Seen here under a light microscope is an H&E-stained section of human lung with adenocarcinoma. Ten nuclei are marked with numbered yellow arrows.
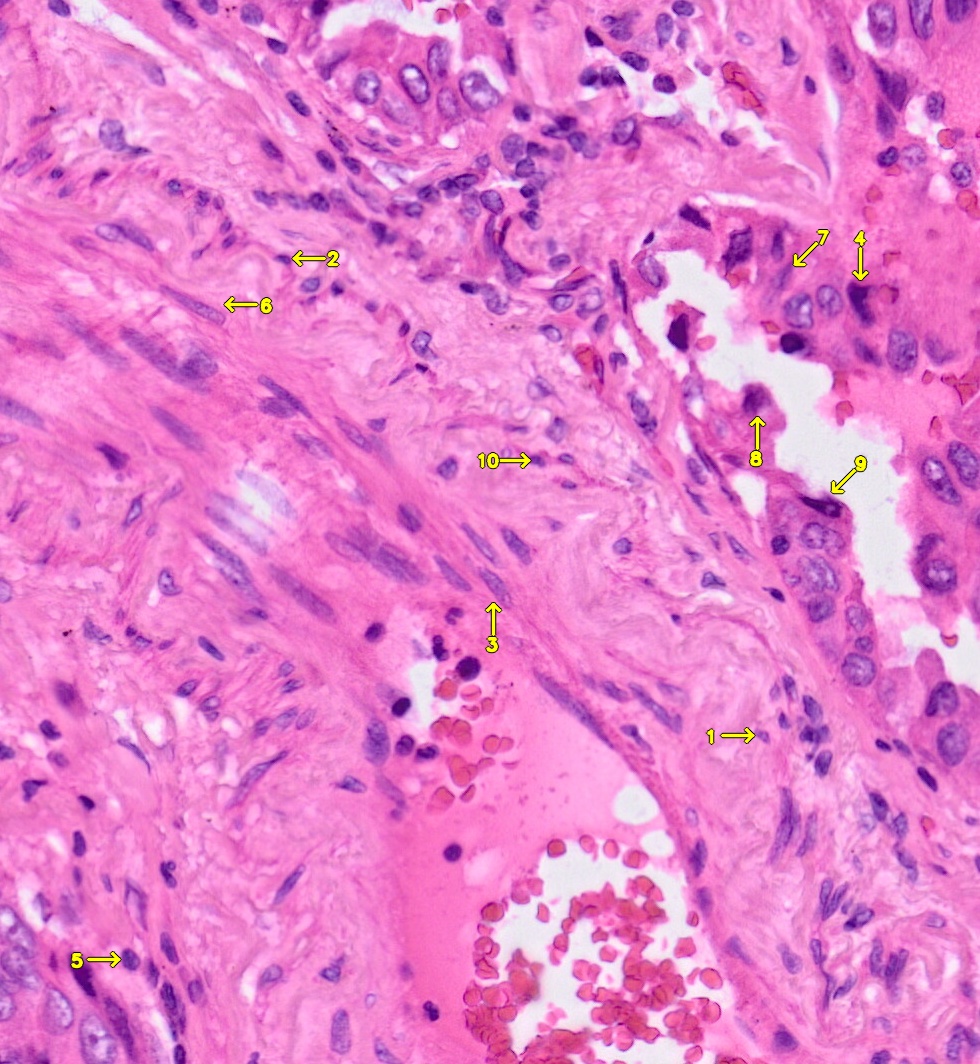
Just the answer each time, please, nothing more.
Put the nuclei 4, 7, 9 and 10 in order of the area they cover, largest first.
4, 9, 7, 10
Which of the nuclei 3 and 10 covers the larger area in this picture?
3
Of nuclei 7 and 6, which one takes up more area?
6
